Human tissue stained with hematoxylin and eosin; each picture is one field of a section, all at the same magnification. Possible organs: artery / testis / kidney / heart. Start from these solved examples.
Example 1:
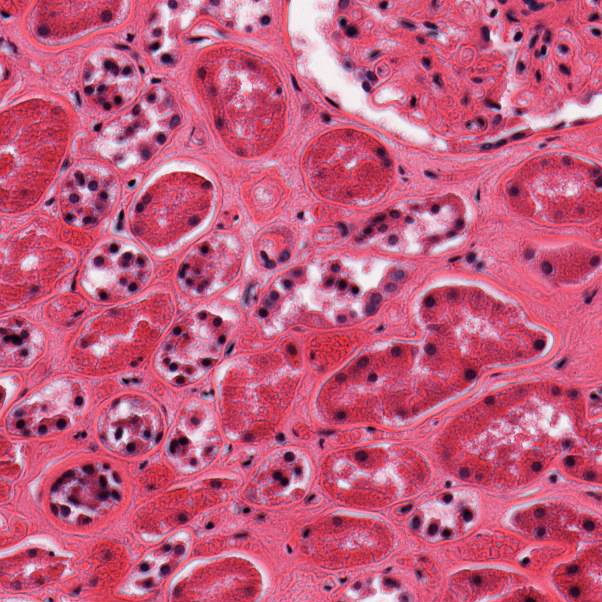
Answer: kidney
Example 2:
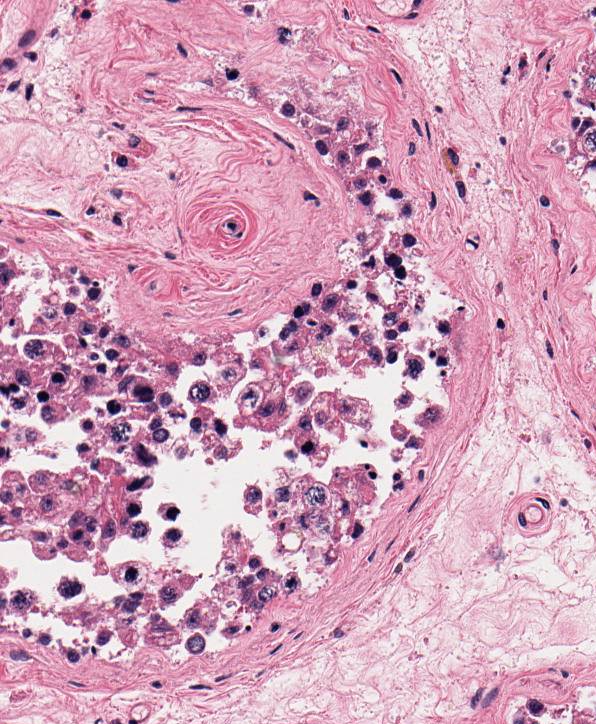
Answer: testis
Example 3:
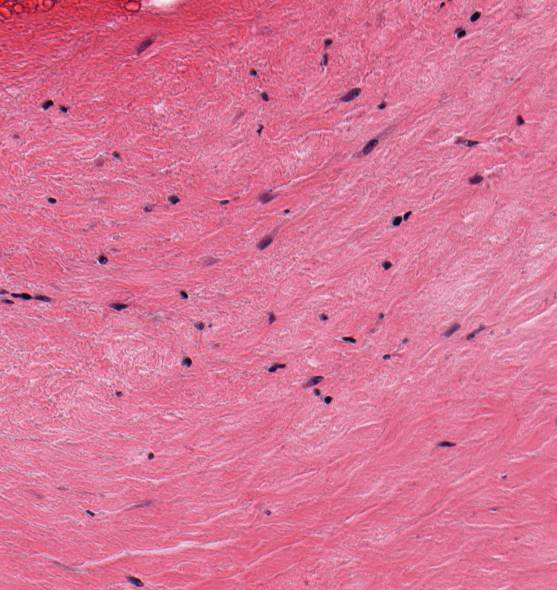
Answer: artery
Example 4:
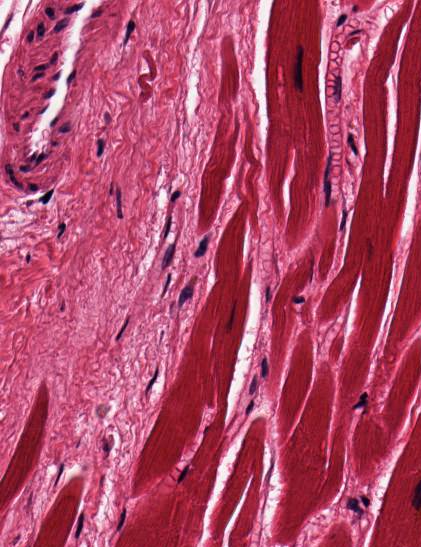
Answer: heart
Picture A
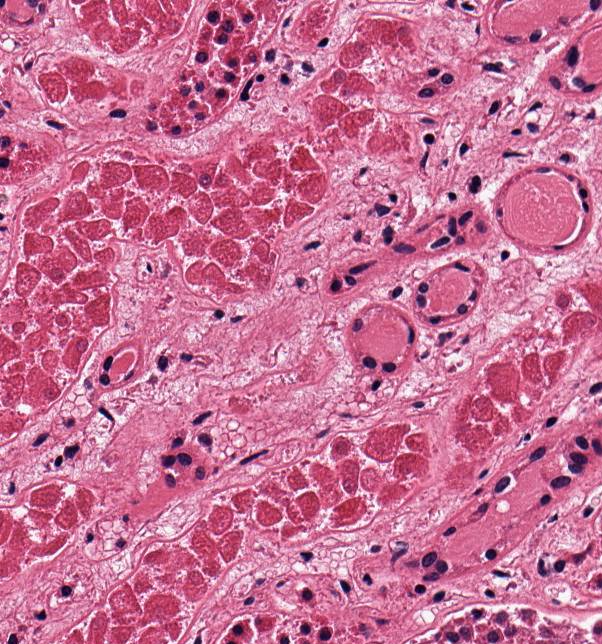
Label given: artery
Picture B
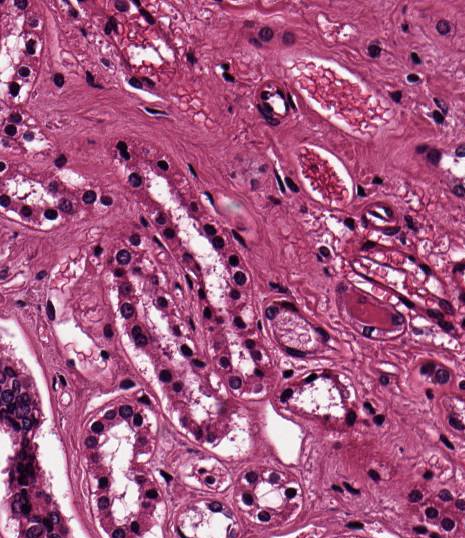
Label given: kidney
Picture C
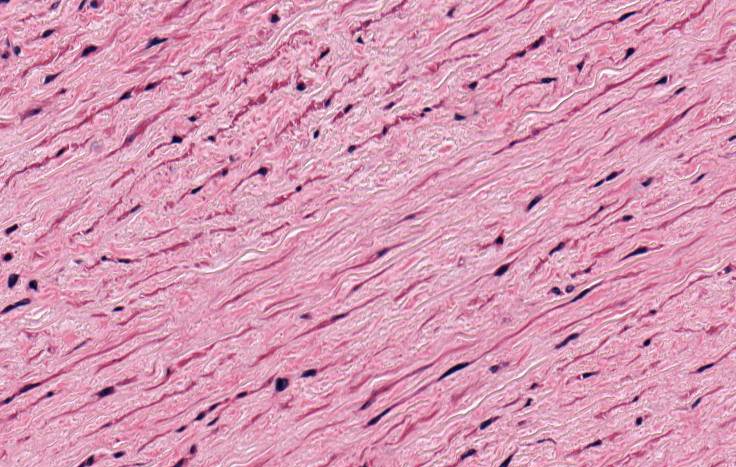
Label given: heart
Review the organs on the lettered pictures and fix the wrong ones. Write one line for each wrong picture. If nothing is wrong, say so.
A: change artery to kidney
C: change heart to artery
